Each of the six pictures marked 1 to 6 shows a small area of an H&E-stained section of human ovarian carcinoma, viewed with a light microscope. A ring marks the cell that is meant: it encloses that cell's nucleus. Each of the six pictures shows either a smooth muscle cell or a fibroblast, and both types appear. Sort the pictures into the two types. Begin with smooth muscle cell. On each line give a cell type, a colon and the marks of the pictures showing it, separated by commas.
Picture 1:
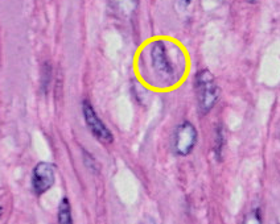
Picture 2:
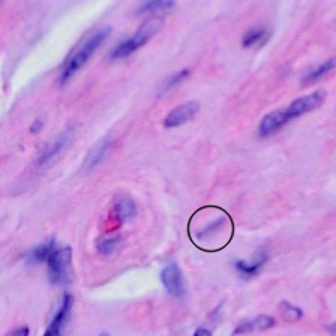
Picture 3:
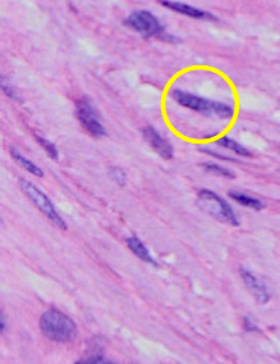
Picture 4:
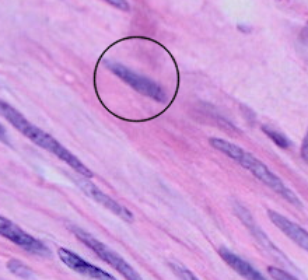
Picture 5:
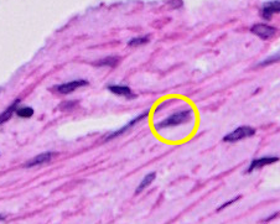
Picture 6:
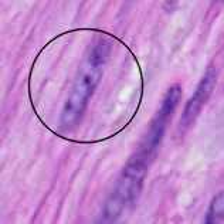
smooth muscle cell: 2, 4
fibroblast: 1, 3, 5, 6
